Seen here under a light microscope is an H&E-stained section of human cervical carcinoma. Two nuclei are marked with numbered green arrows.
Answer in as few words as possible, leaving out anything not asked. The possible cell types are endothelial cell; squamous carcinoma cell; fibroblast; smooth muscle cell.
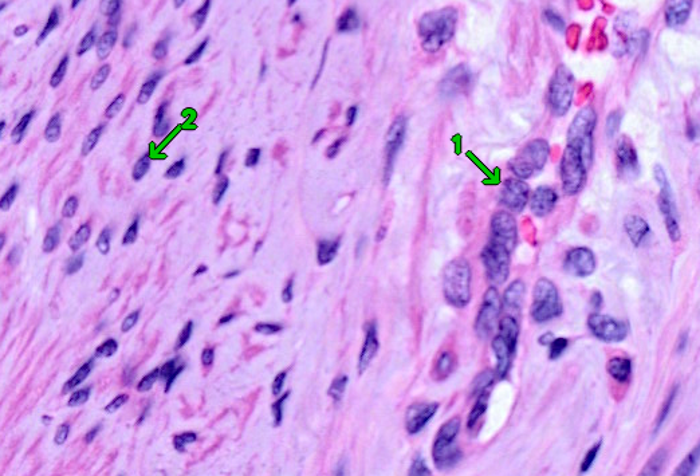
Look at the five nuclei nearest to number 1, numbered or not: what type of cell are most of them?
endothelial cell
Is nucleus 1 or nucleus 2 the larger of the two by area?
1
